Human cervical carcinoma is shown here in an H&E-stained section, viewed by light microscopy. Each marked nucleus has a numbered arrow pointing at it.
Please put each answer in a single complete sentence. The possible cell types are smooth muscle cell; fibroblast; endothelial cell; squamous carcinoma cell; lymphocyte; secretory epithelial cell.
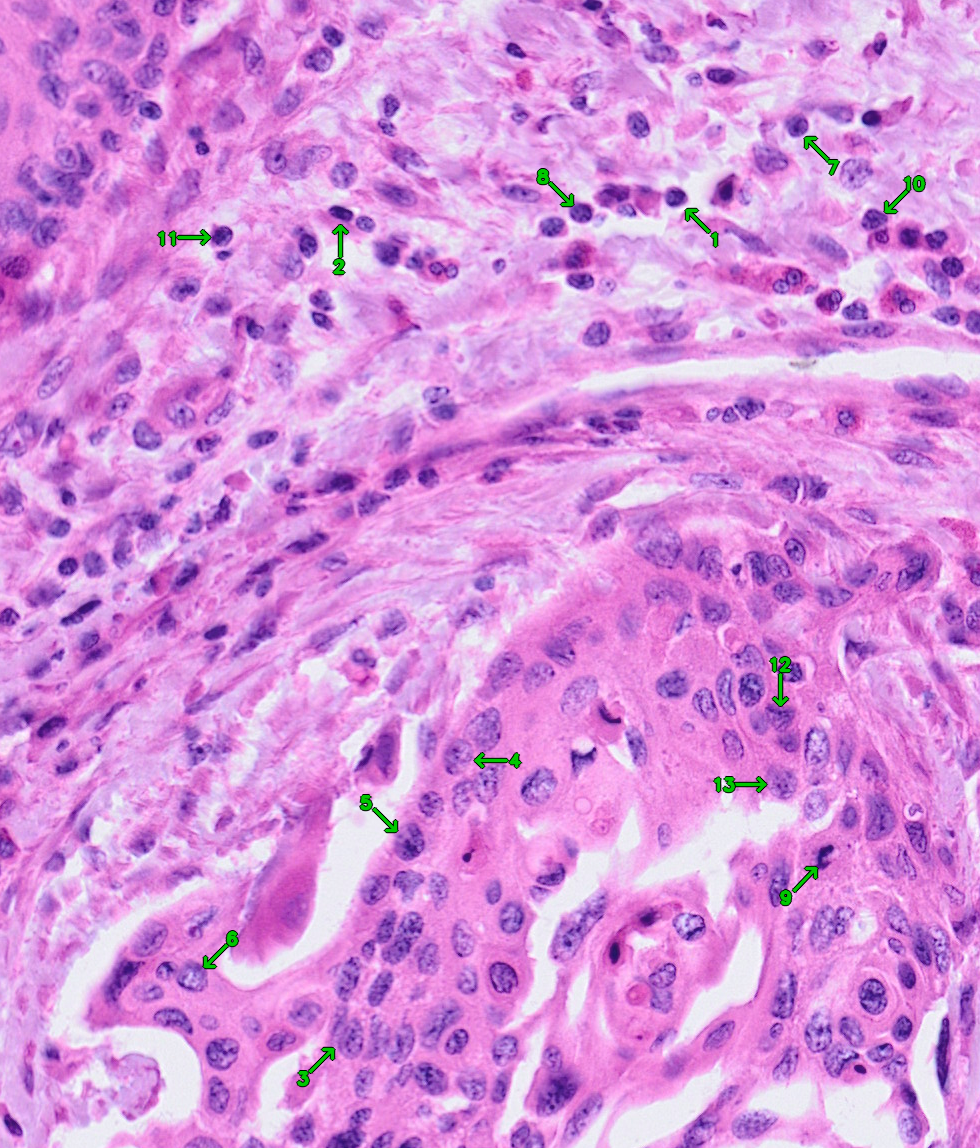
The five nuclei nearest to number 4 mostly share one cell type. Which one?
Squamous carcinoma cells make up most of the five nuclei closest to number 4.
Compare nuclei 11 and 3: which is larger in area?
Number 3 is larger; its area is about 3 times that of number 11.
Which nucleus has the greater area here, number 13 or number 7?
Nucleus 13 is larger, with an area about 2 times that of nucleus 7.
